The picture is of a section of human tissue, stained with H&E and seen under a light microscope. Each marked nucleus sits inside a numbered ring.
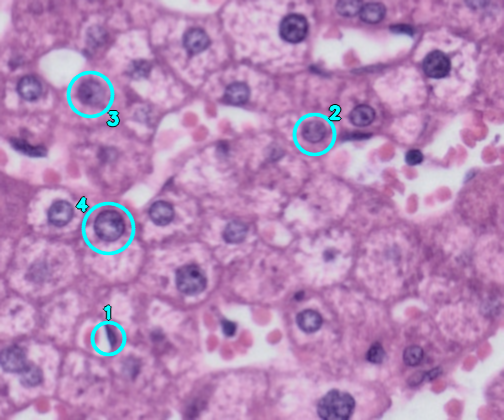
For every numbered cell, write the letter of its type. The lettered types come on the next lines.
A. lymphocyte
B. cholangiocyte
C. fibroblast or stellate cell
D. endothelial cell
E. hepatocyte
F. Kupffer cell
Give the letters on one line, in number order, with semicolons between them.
D; E; E; E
